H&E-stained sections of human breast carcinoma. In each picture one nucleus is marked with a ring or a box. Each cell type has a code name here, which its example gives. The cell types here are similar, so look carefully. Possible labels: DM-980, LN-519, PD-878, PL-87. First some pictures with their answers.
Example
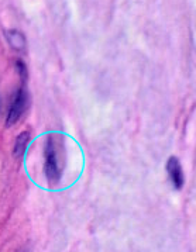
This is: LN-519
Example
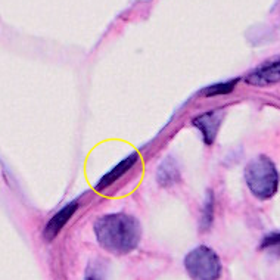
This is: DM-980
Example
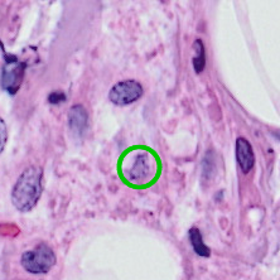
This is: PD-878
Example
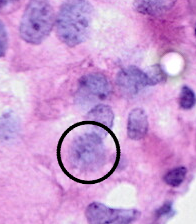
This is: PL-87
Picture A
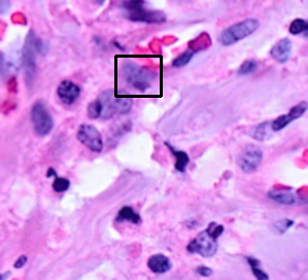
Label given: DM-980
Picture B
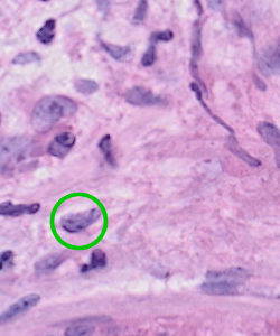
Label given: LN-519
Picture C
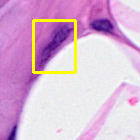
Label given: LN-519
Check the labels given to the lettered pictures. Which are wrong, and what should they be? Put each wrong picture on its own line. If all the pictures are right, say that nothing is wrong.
B: change LN-519 to PD-878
